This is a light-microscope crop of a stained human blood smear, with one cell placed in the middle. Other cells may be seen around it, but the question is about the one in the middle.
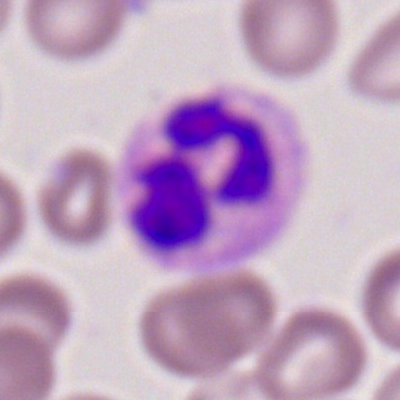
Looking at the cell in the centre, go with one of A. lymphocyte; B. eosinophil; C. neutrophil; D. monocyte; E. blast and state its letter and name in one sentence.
Option C holds, for the cell in the middle is a neutrophil.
